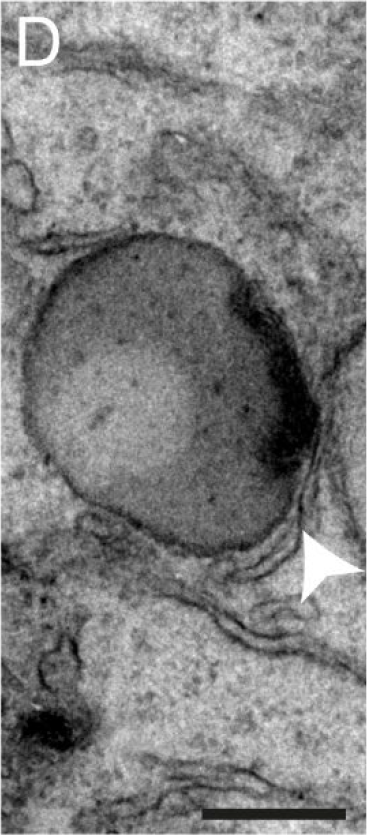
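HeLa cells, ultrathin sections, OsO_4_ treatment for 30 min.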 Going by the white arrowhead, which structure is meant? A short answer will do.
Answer: Membrane contact sites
